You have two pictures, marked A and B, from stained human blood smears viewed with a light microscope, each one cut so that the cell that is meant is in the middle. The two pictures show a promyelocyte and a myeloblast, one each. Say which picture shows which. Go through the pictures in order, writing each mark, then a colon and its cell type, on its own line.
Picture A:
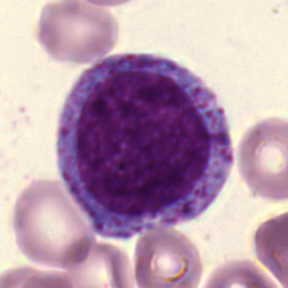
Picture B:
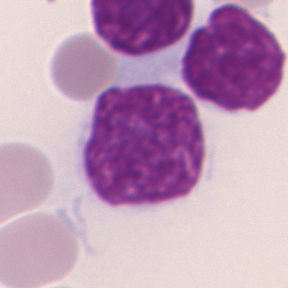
A: promyelocyte
B: myeloblast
